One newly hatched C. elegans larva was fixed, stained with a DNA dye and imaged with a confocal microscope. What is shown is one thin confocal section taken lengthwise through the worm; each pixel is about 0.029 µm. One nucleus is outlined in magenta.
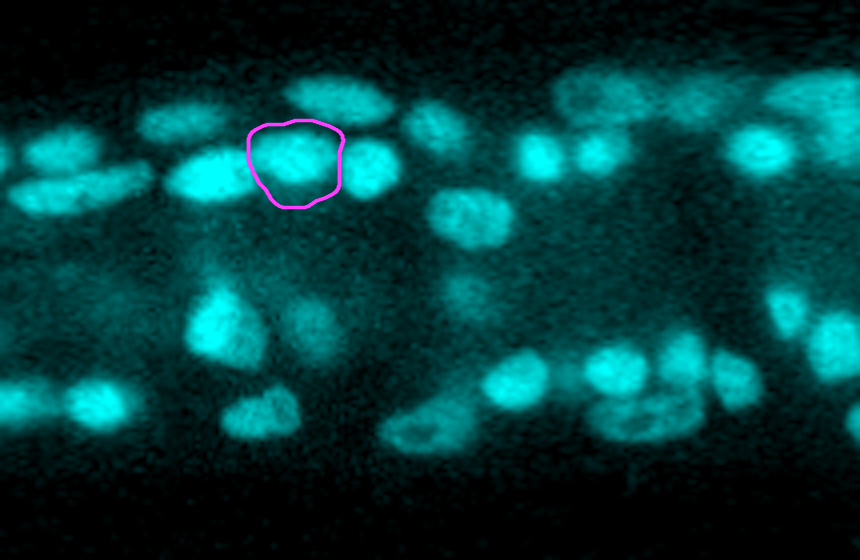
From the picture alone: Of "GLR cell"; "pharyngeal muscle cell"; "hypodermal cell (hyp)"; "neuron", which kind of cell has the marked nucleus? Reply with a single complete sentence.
The cell with the marked nucleus is a neuron.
